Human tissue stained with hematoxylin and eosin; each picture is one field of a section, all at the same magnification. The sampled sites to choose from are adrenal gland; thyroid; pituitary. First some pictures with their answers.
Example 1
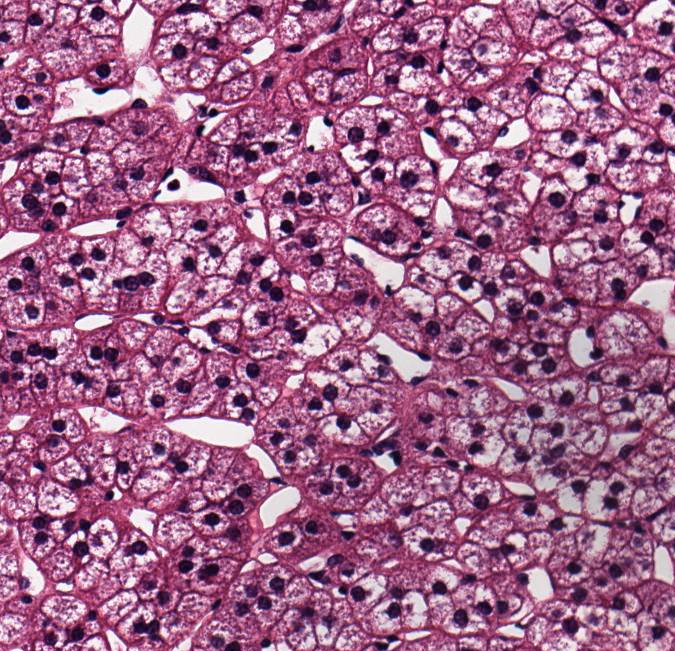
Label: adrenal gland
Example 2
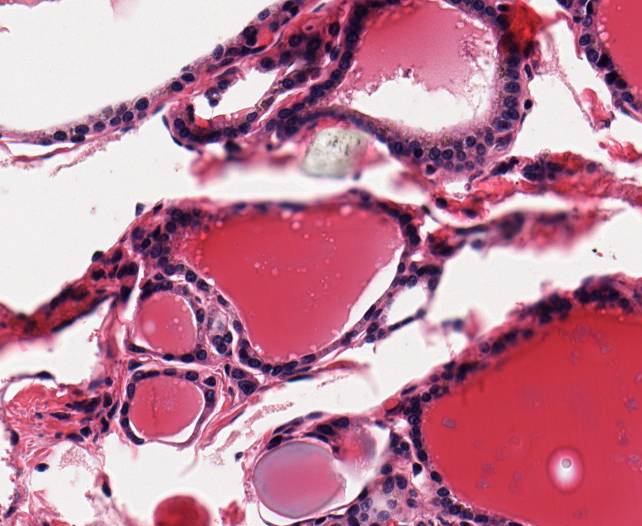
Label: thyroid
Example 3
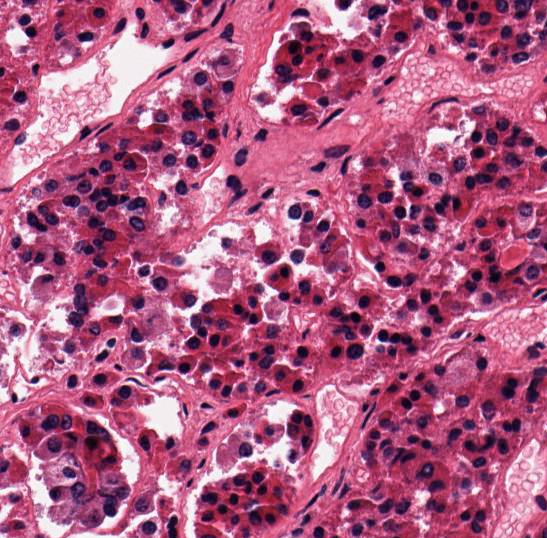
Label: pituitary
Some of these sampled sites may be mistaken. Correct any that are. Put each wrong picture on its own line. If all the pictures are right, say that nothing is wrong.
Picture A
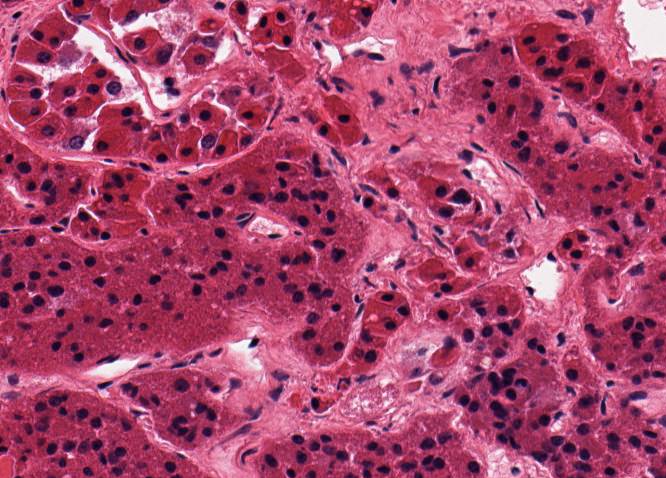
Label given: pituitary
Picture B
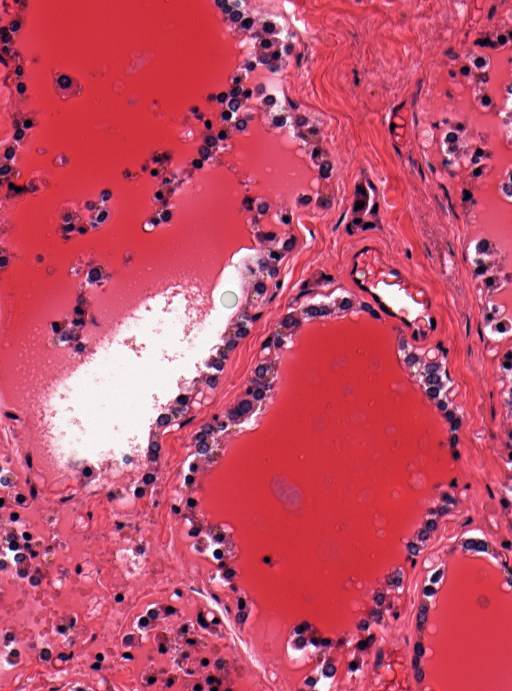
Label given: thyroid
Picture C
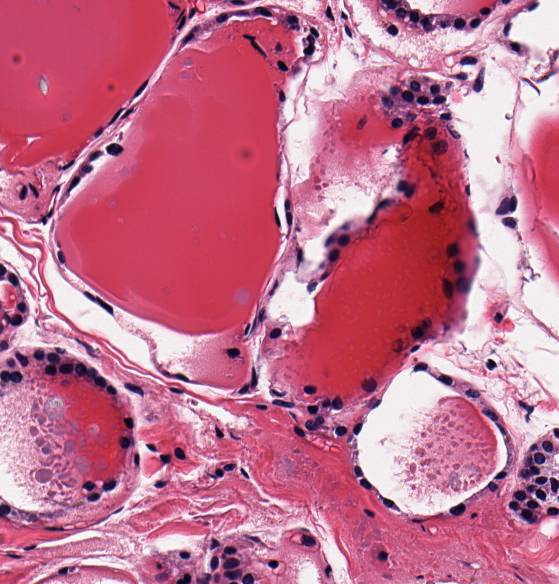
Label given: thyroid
All correct.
